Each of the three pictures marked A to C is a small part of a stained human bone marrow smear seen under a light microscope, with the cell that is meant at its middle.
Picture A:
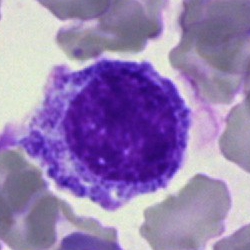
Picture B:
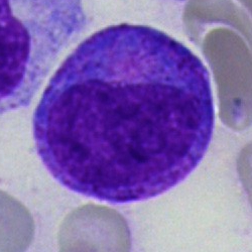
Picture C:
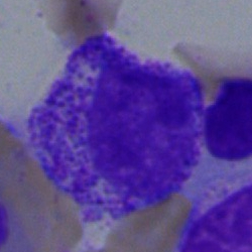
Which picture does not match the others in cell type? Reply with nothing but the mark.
B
